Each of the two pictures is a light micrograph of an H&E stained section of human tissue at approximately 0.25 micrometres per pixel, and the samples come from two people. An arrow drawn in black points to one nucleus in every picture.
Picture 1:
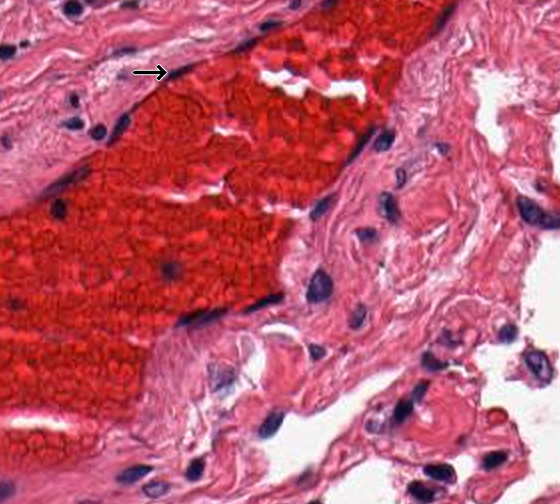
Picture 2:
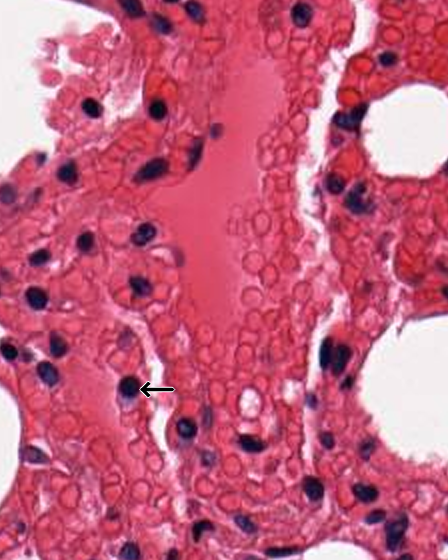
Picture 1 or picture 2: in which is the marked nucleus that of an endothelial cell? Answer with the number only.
1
